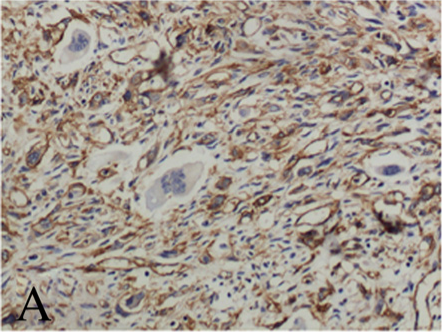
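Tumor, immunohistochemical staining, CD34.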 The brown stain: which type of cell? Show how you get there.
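The brown-stained cells are elongated and run in streams. Their nuclei are oval to spindle-shaped. Large pale cells with clustered nuclei are left unstained. That points to this answer: spindle cells.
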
